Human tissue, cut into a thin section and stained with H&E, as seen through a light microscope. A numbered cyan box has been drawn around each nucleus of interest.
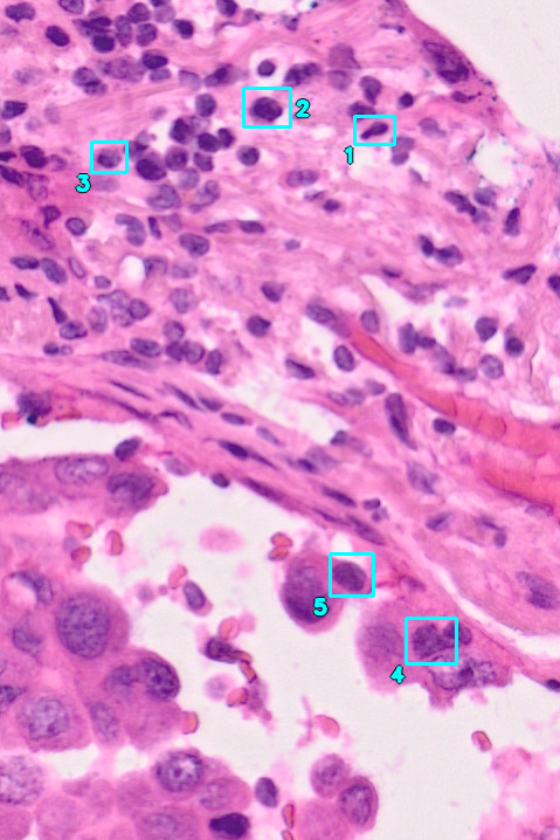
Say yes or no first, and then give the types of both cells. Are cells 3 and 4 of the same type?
No, cell 3 is a lymphocyte and cell 4 is a carcinoma cell.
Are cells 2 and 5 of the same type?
No, cell 2 is a lymphocyte and cell 5 is a carcinoma cell.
